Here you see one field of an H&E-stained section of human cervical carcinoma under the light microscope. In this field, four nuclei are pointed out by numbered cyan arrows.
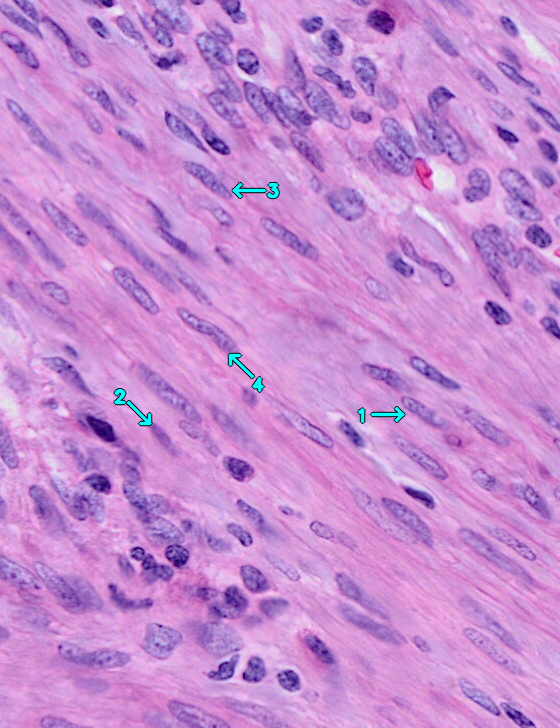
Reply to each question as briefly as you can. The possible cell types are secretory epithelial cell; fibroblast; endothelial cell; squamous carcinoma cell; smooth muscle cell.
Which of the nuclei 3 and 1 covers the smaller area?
3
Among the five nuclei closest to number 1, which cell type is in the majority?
smooth muscle cell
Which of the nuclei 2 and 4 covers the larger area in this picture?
4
